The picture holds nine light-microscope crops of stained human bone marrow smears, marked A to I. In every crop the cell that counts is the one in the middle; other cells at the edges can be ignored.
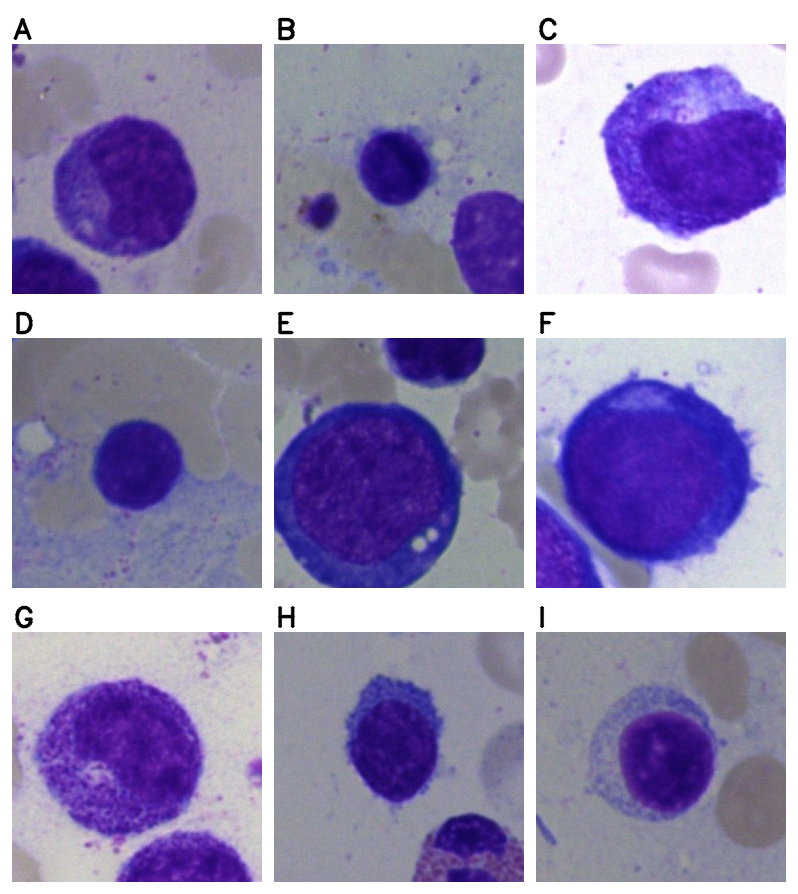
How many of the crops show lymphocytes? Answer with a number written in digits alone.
4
